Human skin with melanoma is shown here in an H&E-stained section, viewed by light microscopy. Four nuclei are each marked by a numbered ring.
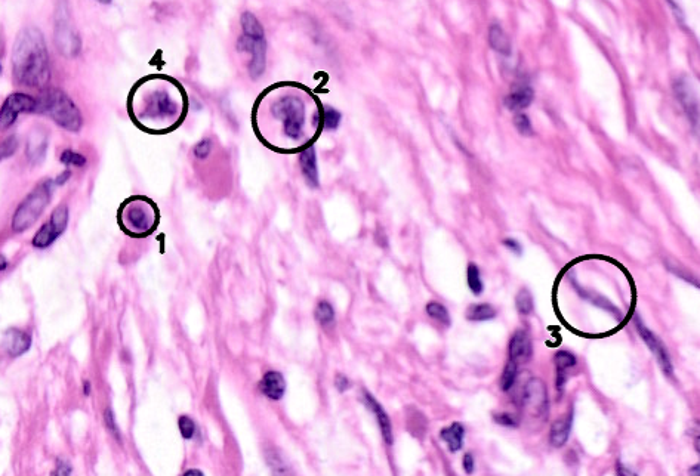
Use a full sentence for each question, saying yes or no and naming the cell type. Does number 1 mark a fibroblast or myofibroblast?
No, the cell tagged 1 is a macrophage or monocyte, not a fibroblast or myofibroblast.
